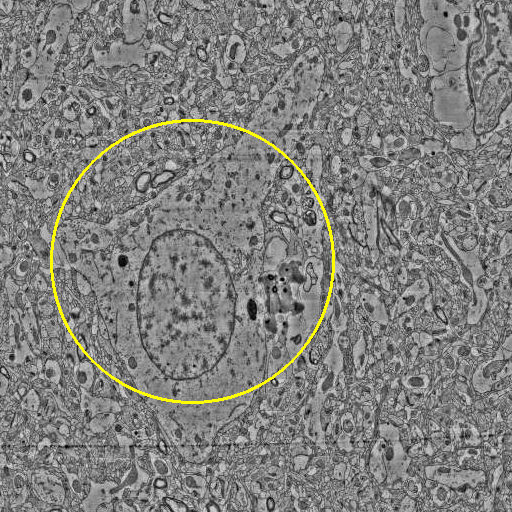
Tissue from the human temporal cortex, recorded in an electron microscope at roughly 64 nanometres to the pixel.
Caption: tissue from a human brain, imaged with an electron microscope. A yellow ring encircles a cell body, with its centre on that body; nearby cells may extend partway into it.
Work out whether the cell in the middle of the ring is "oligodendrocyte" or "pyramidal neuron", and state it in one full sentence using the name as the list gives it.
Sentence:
In the picture, the cell that the yellow ring surrounds at its centre is a pyramidal neuron.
